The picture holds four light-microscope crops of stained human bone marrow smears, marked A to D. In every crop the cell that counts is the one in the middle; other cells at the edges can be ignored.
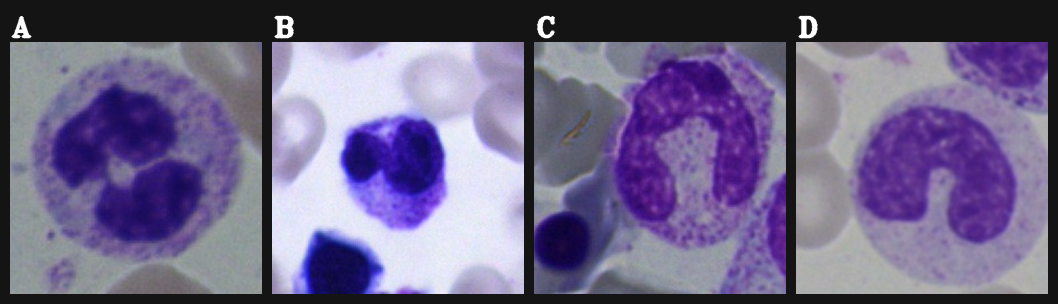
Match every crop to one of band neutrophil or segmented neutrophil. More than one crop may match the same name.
A: segmented neutrophil
B: segmented neutrophil
C: band neutrophil
D: band neutrophil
